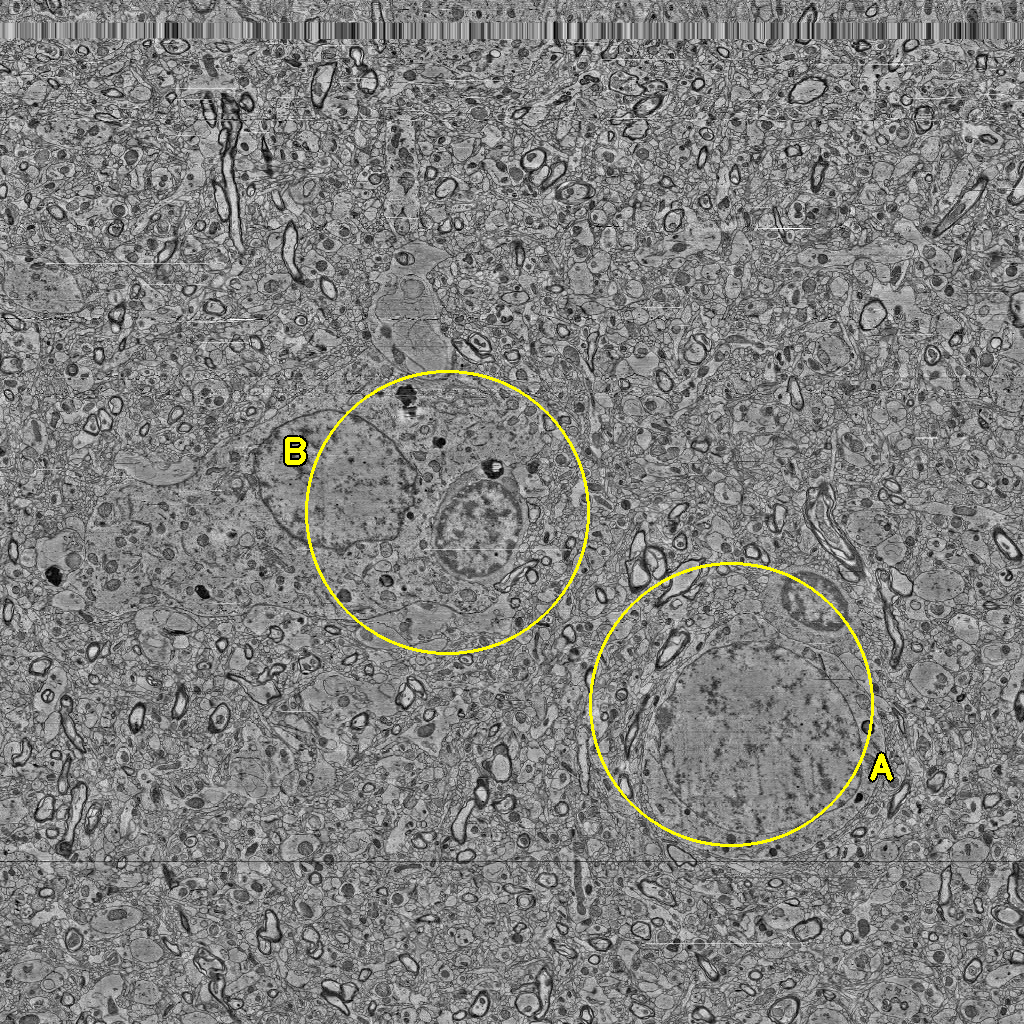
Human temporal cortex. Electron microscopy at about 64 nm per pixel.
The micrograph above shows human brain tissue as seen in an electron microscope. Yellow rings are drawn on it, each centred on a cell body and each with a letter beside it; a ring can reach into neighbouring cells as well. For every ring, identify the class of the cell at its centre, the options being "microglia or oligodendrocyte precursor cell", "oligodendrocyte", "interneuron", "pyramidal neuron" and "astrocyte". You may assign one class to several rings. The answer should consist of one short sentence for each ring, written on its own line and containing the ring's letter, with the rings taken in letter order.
The ring lettered A is centred on a pyramidal neuron.
The ring lettered B is centred on an oligodendrocyte.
